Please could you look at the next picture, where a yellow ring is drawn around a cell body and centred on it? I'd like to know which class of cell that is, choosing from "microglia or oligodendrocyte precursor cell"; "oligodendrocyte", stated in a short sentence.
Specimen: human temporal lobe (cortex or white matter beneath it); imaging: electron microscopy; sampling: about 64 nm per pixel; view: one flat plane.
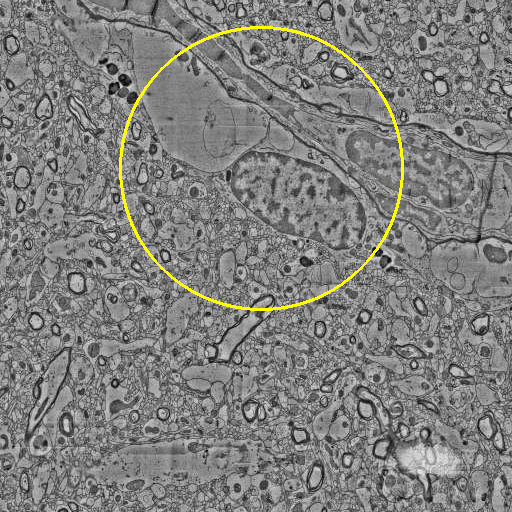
The ring's centre lies on a microglial cell or oligodendrocyte precursor cell.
